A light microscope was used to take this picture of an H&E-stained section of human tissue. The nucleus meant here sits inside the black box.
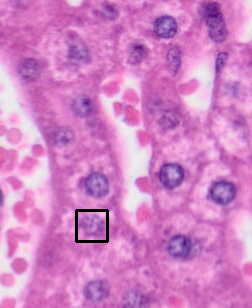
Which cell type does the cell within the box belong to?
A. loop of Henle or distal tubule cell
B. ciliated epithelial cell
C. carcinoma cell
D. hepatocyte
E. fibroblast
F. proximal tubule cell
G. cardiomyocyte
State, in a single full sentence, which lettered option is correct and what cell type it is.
Option D correctly identifies the cell within the box as a hepatocyte.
